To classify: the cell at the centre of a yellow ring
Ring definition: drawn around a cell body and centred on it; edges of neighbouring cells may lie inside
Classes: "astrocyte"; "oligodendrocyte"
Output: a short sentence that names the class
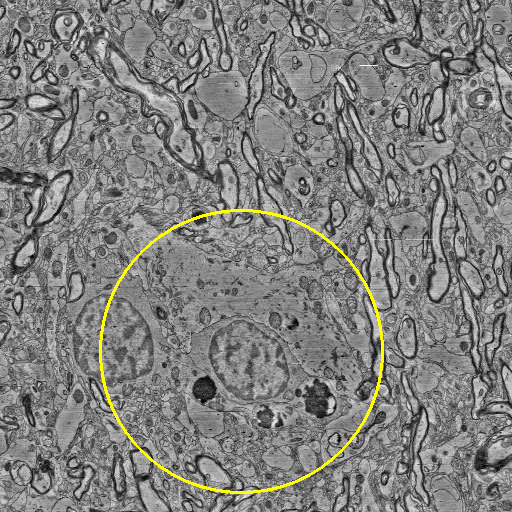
The ringed cell is an oligodendrocyte.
